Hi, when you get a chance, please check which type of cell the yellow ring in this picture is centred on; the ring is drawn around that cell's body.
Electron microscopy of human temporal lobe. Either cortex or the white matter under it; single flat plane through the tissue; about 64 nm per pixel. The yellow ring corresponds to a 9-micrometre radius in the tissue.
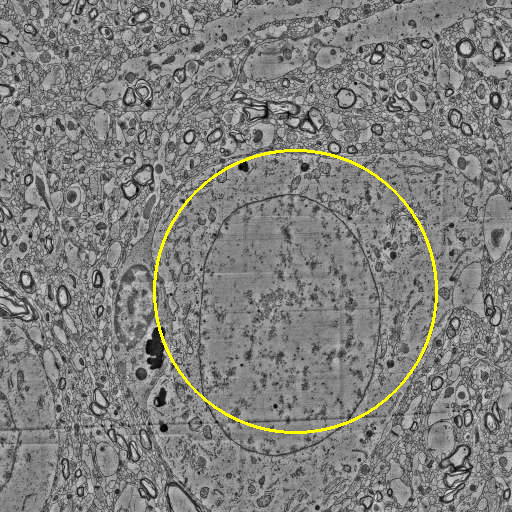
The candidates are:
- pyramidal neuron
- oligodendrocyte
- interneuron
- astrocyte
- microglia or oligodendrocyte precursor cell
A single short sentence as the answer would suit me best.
The ring is drawn around the body of a pyramidal neuron.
